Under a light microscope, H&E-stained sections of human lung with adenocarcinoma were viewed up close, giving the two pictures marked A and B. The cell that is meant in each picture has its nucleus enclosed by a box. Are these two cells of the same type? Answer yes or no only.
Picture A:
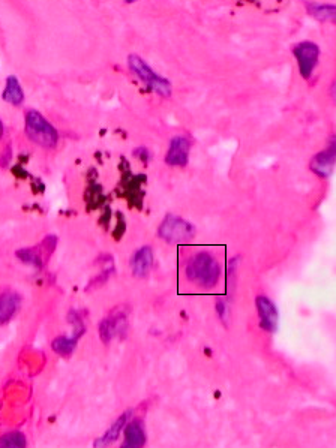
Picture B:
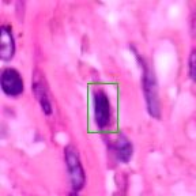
yes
